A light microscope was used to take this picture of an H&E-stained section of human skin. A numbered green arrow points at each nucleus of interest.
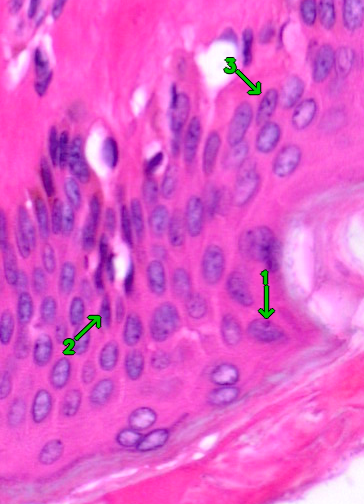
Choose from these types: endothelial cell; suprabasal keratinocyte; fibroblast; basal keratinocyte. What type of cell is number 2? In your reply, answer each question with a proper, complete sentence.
It is as a basal keratinocyte that the cell numbered 2 is identified.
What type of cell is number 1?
The cell pointed out as number 1 is a suprabasal keratinocyte.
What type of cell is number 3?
The marked cell with the number 3 is recognised as a basal keratinocyte.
